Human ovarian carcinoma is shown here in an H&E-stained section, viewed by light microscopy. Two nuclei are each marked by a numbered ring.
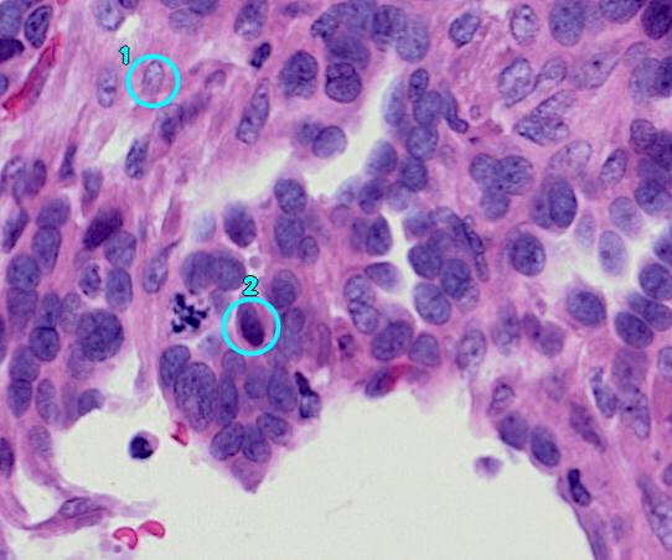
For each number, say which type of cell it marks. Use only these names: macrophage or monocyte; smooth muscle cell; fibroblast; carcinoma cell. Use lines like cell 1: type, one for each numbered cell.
cell 1: fibroblast
cell 2: carcinoma cell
